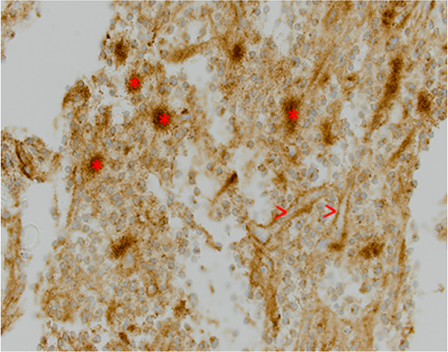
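This tumor tissue shows many small round cells in a brown-stained background, with scattered rounded neuropil cores staining a dense dark brown. Thin brown fibrillary strands run between the cells.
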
